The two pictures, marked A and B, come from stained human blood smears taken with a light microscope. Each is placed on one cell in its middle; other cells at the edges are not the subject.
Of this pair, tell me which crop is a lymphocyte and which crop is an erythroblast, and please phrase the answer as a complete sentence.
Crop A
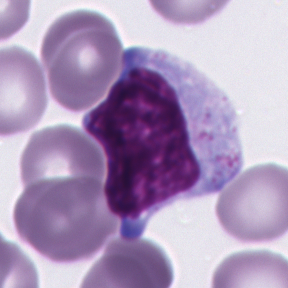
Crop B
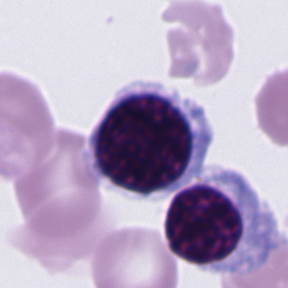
The crop marked A shows a lymphocyte; the crop marked B shows an erythroblast.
